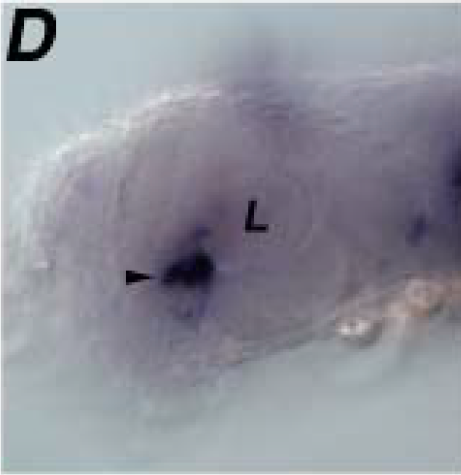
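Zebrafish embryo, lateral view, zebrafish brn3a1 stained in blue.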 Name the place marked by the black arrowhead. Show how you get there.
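Ventronasal region. The arrowhead points to a dark blue patch in the lower front part of the eye. The patch lies below and in front of the lens.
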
